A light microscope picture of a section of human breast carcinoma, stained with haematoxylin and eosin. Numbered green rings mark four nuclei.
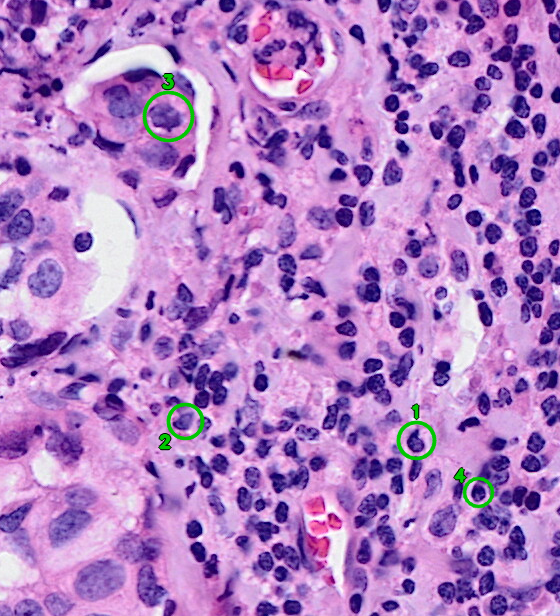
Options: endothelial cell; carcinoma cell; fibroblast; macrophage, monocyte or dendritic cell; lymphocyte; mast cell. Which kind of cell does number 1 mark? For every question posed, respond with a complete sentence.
Here the cell numbered 1 is a lymphocyte.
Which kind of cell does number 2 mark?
The cell assigned the number 2 is a lymphocyte.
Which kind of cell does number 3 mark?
In this section, the cell tagged 3 is a carcinoma cell.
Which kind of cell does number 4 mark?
The nucleus labelled 4 belongs to a lymphocyte.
